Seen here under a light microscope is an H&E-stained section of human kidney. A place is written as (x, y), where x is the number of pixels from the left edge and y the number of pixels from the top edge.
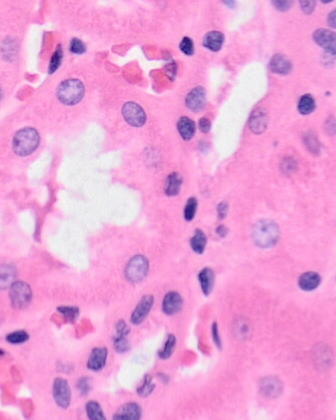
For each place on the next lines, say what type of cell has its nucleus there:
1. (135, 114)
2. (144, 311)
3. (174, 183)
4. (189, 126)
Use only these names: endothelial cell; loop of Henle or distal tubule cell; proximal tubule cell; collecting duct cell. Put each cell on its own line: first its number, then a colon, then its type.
1: proximal tubule cell
2: collecting duct cell
3: proximal tubule cell
4: loop of Henle or distal tubule cell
